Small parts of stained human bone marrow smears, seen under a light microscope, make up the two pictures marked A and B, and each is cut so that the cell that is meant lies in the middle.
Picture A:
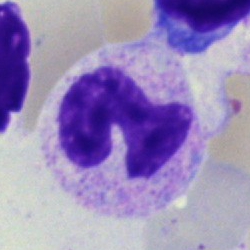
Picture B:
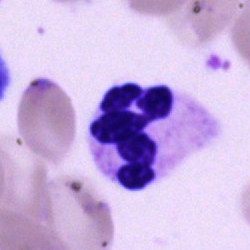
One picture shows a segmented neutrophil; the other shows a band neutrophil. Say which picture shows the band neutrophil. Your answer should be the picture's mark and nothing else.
A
